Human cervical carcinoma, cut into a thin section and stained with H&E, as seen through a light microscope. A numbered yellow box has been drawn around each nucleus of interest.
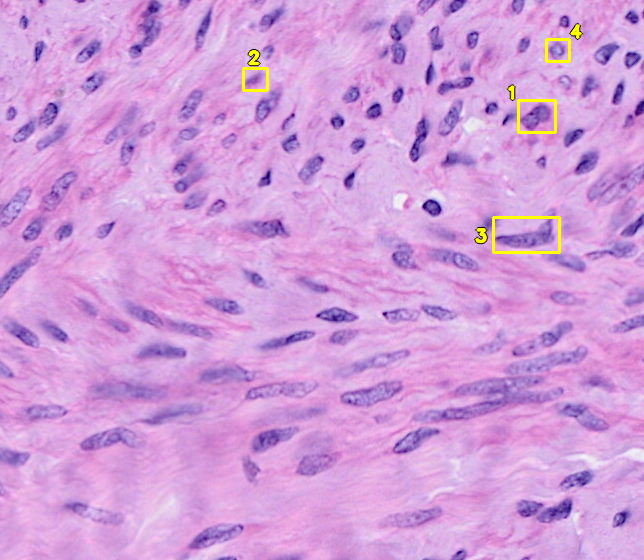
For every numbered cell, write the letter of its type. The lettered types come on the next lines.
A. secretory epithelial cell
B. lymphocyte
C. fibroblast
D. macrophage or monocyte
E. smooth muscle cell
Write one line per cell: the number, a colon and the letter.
1: E
2: E
3: C
4: E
